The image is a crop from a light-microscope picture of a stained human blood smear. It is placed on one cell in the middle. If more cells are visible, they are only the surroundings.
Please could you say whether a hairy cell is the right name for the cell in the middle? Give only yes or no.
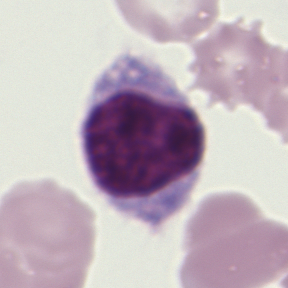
yes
